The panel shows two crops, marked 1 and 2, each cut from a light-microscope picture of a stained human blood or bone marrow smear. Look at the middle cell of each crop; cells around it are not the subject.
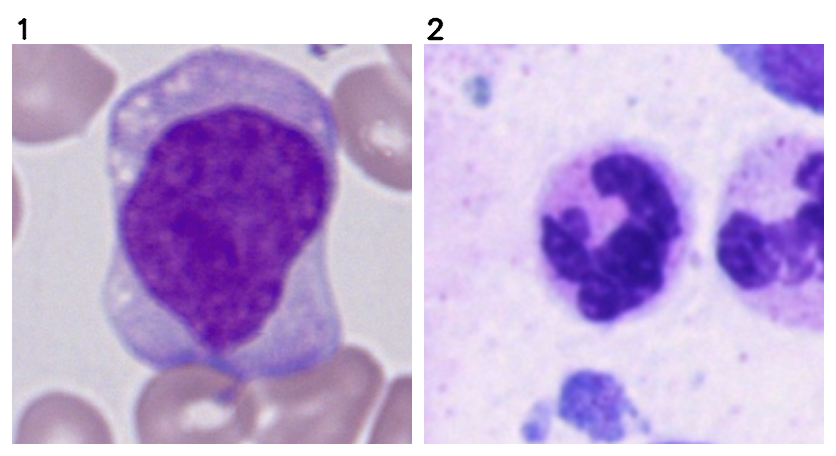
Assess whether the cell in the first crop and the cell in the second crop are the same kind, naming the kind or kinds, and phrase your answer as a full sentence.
No, crop 1 should be called a monocyte, and crop 2 should be called a segmented neutrophil.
